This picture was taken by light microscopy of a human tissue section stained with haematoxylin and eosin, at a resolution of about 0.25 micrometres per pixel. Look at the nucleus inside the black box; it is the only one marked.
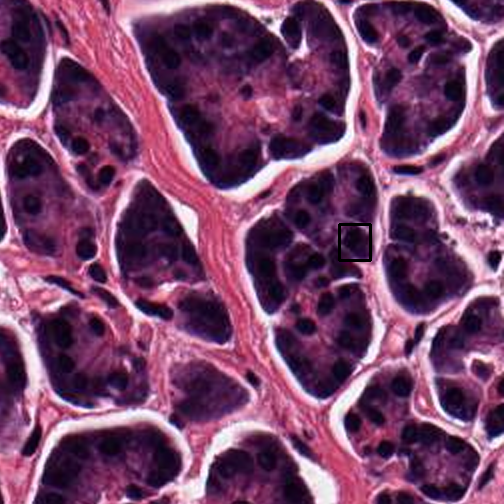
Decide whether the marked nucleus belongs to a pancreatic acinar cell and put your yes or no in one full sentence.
Yes, the marked nucleus is a nucleus of a pancreatic acinar cell.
